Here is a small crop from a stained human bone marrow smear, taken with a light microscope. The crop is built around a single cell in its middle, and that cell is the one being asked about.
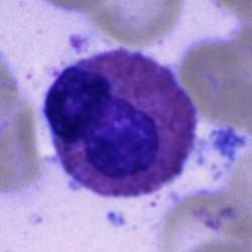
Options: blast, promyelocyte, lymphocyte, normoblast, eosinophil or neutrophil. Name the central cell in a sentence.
The central element of this crop is a cell, namely an eosinophil.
